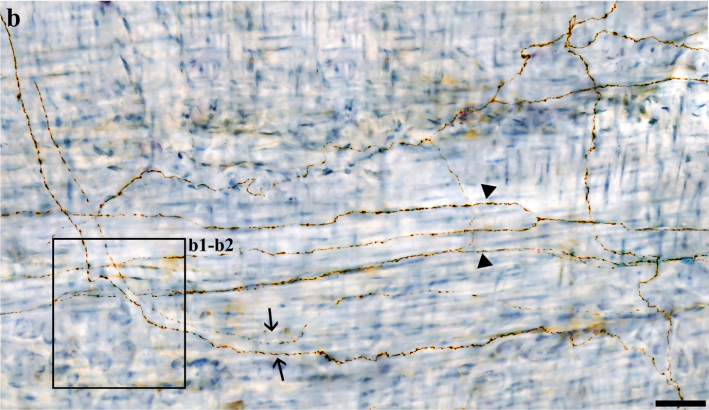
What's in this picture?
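The fibre splits into many fine branches, and each branch is beaded along its length with small regularly spaced swellings. In the upper and middle part, the background is made of elongated, spindle-shaped nuclei lined up in parallel bands, the smooth muscle, and several brown branches run alongside them.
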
